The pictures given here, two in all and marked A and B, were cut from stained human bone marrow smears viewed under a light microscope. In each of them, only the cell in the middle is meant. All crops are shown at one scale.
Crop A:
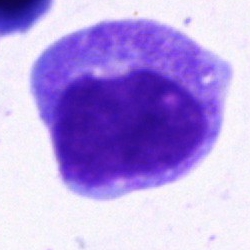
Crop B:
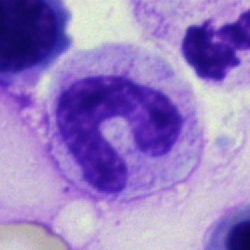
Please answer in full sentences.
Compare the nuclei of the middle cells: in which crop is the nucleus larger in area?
It is the nucleus in crop A, about 1.5 times as large in area as the one in crop B.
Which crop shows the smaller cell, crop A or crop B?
It is the cell in crop B; the cell in crop A has about 1.5 times its area.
